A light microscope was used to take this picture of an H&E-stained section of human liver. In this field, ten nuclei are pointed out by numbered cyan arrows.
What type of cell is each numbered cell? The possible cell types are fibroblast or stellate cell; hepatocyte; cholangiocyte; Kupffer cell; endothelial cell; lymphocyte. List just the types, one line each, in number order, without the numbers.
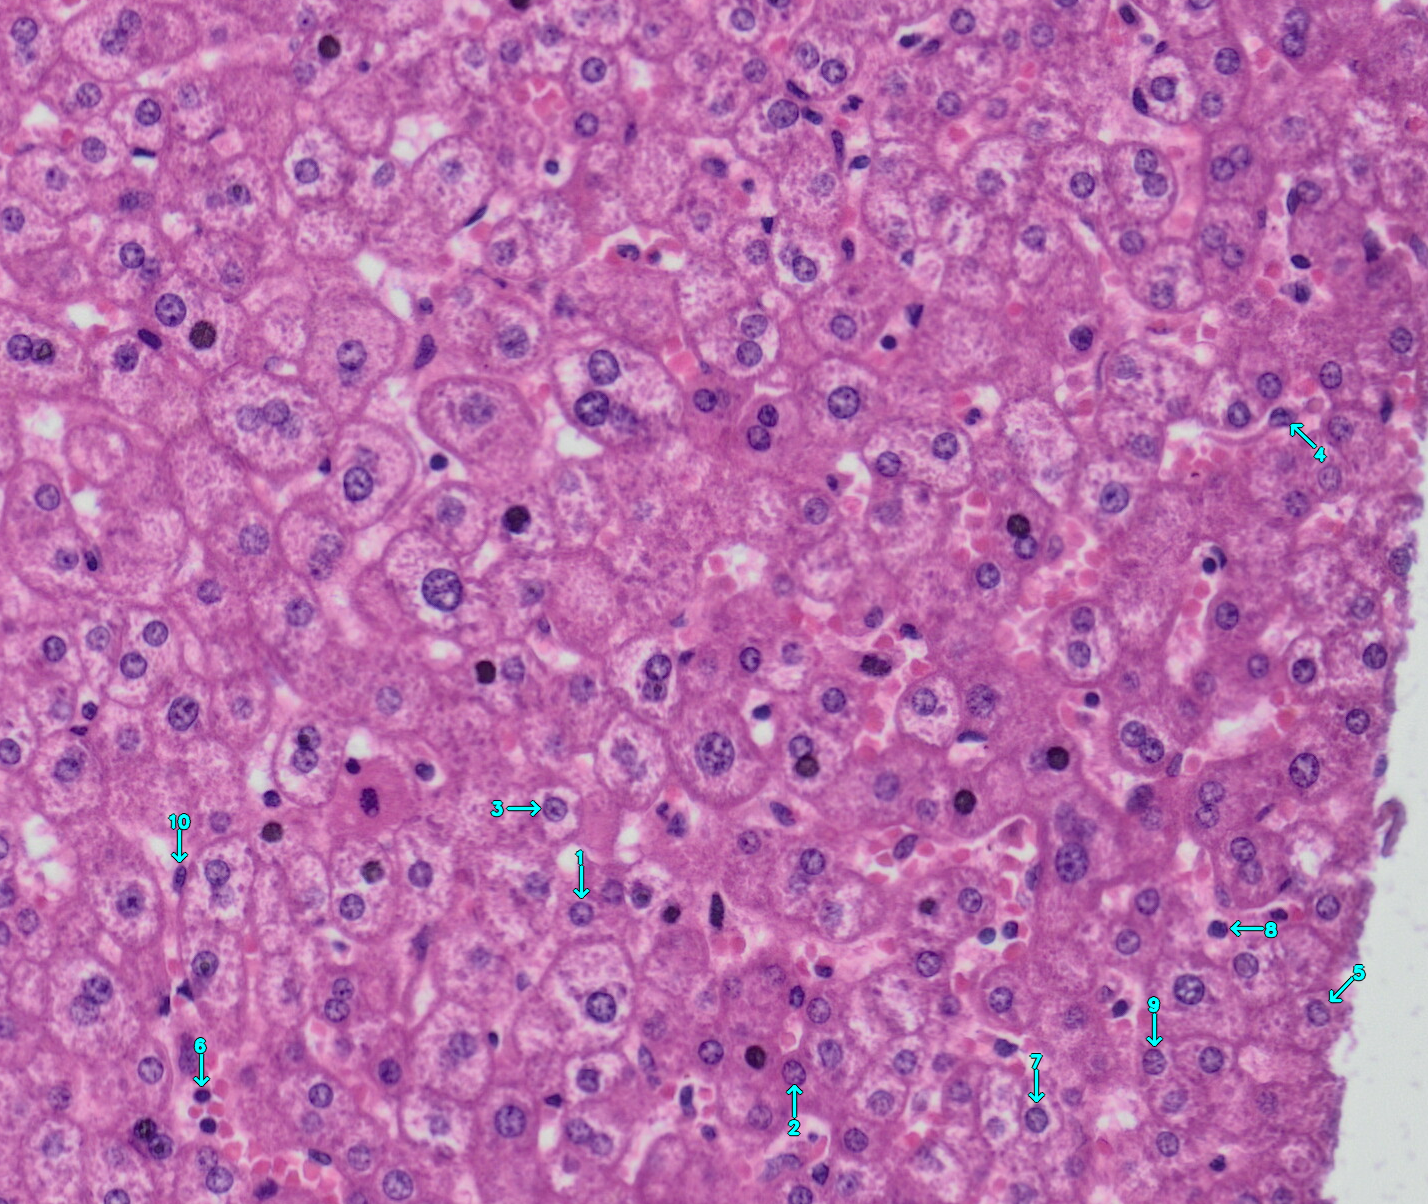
hepatocyte
hepatocyte
hepatocyte
Kupffer cell
hepatocyte
lymphocyte
hepatocyte
lymphocyte
hepatocyte
Kupffer cell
